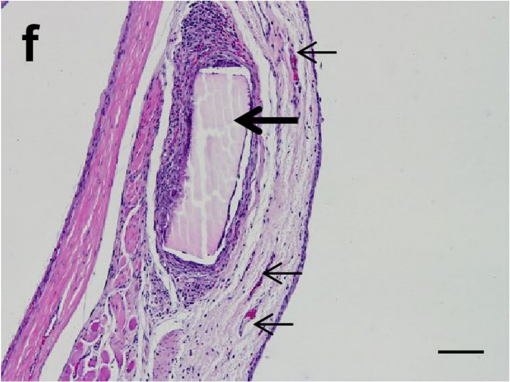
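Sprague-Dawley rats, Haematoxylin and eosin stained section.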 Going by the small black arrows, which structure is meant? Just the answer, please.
Blood vessels.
